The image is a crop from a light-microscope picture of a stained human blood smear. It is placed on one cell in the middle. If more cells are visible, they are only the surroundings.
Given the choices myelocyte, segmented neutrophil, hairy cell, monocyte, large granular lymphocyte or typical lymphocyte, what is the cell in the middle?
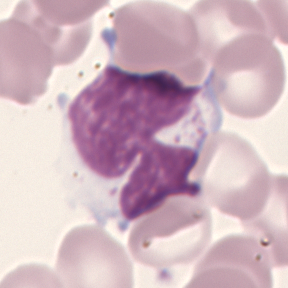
large granular lymphocyte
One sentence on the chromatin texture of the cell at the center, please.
Check the chromatin: it is fine and not coarsely clumped.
